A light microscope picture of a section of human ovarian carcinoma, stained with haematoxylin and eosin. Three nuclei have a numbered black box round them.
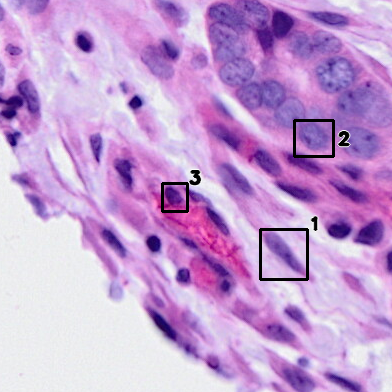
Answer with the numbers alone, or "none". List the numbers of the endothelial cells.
3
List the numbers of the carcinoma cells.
2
